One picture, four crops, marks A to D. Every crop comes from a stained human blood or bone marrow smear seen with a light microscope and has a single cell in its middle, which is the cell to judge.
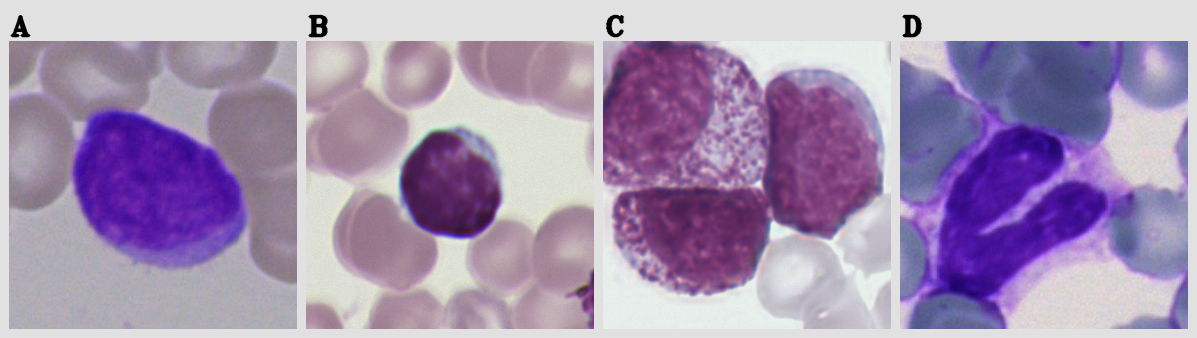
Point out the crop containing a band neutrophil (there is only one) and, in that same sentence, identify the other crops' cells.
There is a band neutrophil in crop D, while crop A is a blast, crop B is a lymphocyte and crop C is a myelocyte.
